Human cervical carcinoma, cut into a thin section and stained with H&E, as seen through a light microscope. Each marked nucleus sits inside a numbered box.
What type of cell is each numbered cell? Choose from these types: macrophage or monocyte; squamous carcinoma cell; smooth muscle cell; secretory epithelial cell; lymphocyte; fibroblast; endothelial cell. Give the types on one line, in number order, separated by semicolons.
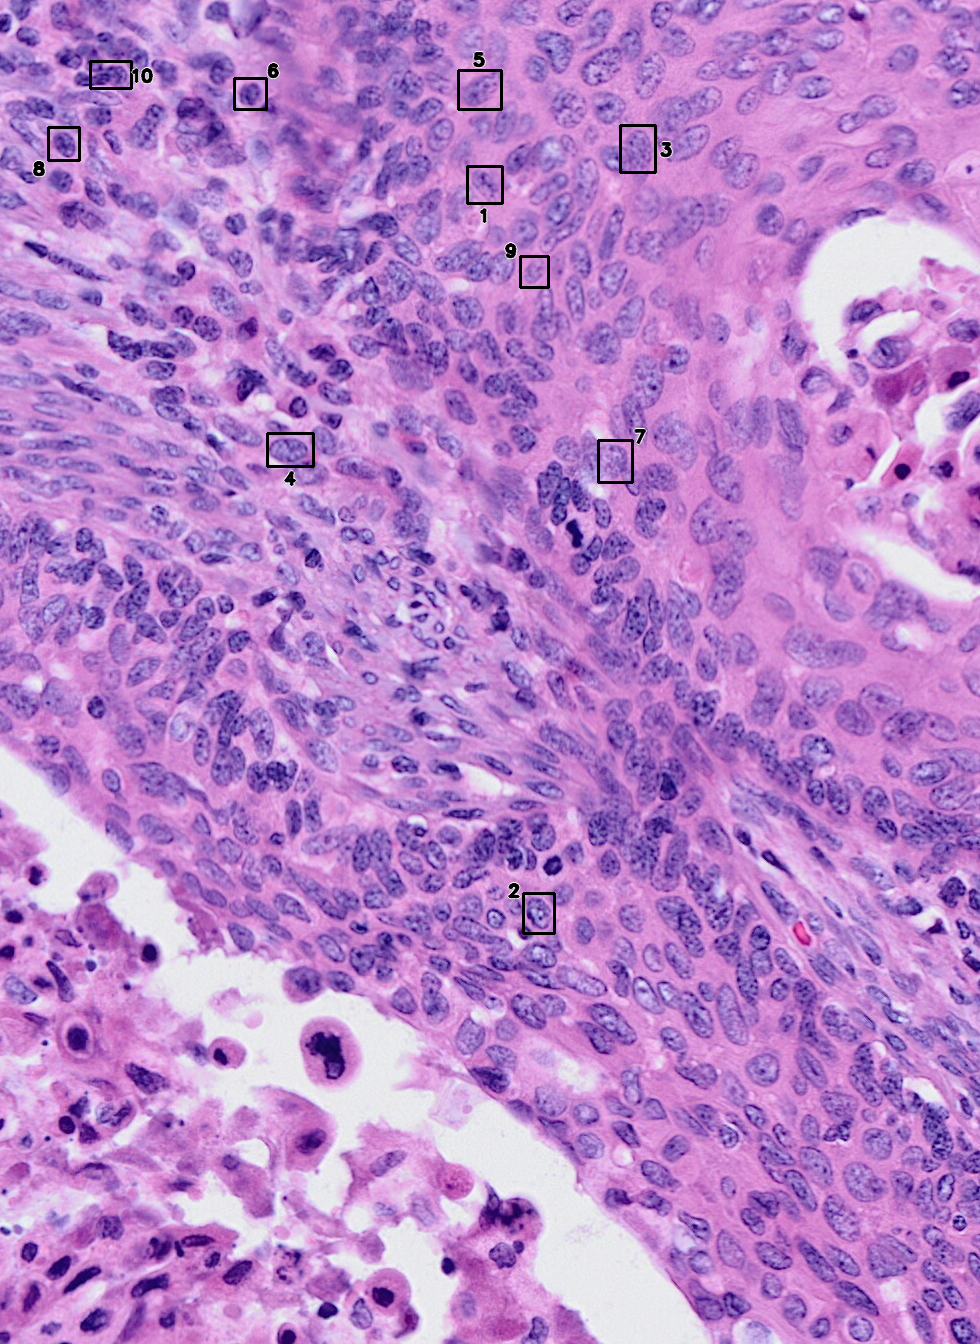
squamous carcinoma cell; squamous carcinoma cell; squamous carcinoma cell; endothelial cell; squamous carcinoma cell; lymphocyte; squamous carcinoma cell; lymphocyte; squamous carcinoma cell; lymphocyte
